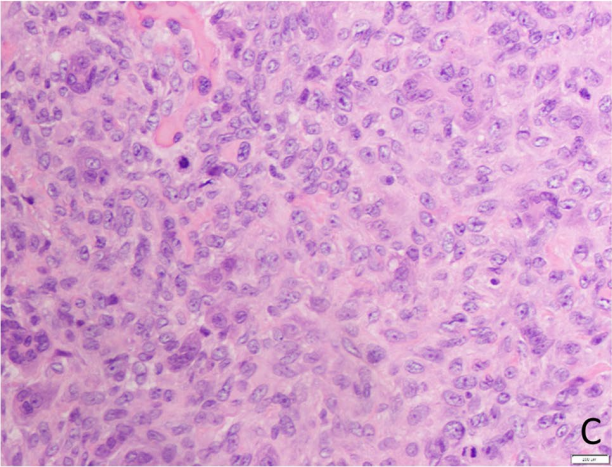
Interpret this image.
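Solid sheet of tumor cells with no osteoid nodules. Nuclei are vesicular with pale chromatin and small prominent nucleoli, and cytoplasm is pink and ill-defined.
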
